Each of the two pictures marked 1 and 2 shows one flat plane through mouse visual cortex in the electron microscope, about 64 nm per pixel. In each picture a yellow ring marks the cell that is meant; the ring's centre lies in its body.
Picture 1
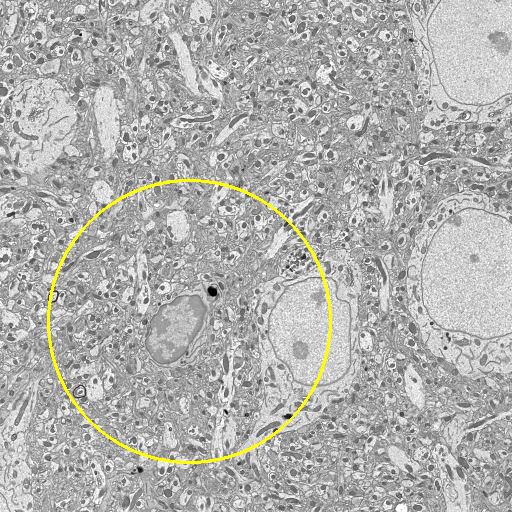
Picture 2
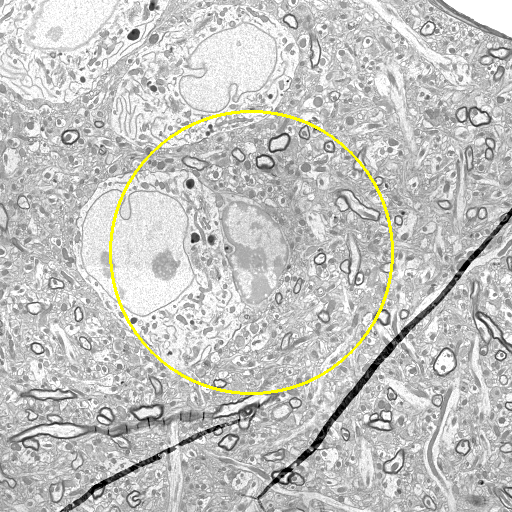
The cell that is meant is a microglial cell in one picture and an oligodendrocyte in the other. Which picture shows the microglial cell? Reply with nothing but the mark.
1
